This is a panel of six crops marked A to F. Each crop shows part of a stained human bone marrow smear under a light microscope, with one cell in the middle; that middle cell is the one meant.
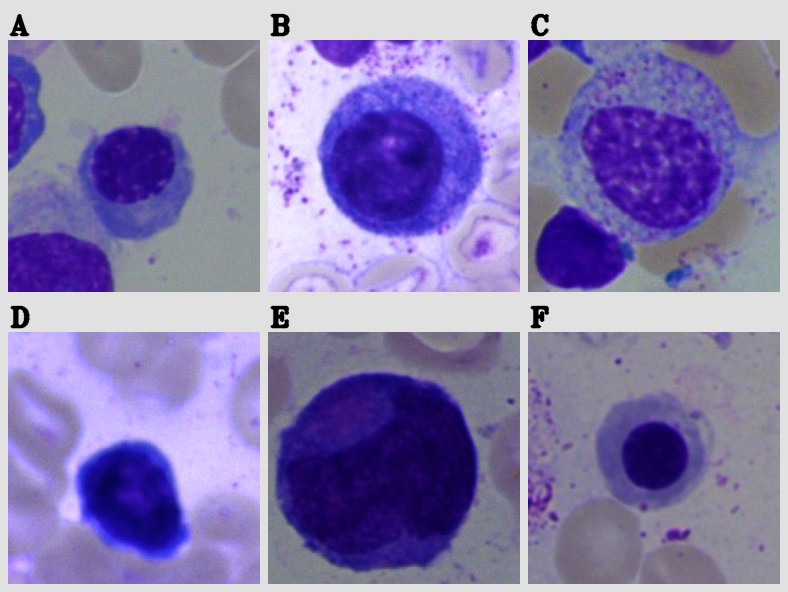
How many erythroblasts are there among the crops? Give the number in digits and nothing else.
2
